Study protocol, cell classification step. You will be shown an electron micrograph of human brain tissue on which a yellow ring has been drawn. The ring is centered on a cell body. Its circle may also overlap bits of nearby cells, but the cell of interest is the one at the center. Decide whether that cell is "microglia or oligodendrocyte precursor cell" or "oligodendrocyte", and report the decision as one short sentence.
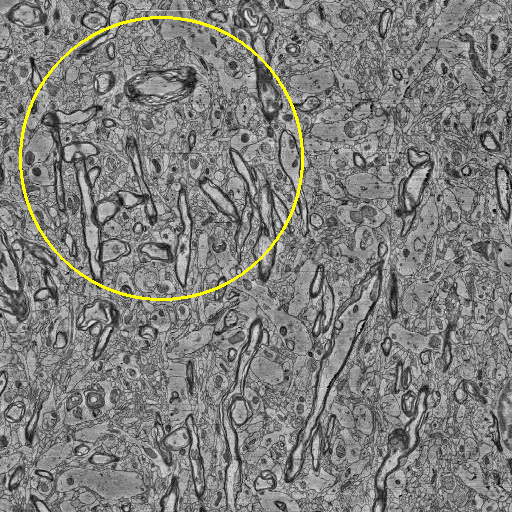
The marked cell is a microglial cell or oligodendrocyte precursor cell.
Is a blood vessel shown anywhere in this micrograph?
No, none appears.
